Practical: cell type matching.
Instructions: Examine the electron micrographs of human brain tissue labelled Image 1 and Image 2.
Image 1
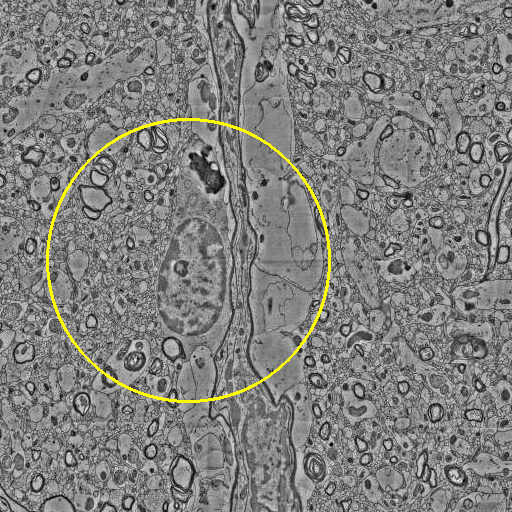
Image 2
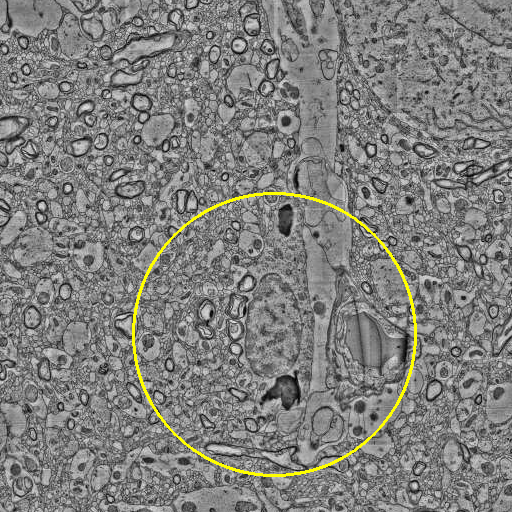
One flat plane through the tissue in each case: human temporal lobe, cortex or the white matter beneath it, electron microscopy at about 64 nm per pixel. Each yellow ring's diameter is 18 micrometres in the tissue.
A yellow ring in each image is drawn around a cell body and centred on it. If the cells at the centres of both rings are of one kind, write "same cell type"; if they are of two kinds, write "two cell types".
same cell type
